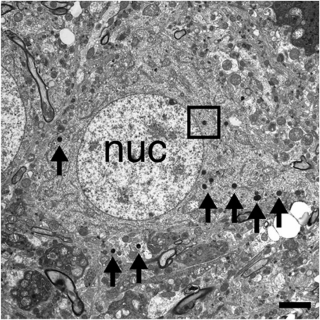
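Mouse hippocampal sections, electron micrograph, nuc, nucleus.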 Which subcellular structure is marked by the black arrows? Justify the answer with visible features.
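Lysosomes. The arrows point to small, round, very dark bodies in the cytoplasm around the nucleus.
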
